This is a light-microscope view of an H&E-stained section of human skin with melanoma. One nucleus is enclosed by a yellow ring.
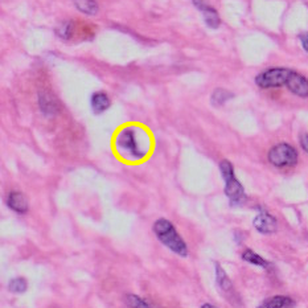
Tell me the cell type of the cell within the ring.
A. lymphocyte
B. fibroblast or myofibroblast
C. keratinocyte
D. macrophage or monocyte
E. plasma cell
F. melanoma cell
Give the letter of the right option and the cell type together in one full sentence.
Option B is right, and the cell within the ring is a fibroblast or myofibroblast.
